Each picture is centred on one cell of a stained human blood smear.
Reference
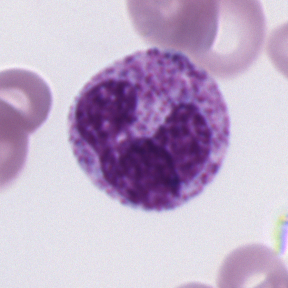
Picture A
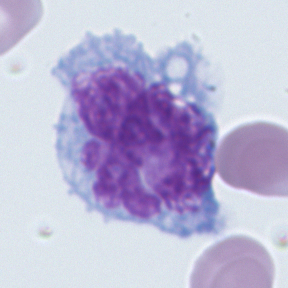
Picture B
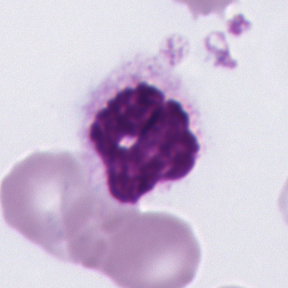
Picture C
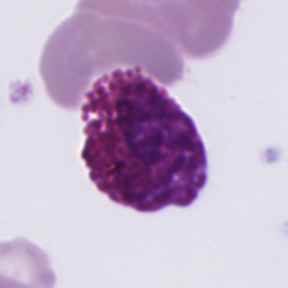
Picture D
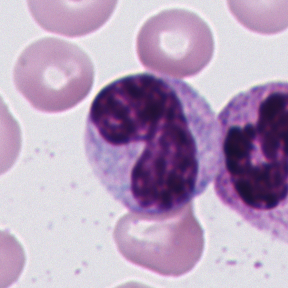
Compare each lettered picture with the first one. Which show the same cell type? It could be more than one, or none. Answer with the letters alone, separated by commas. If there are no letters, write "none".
C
